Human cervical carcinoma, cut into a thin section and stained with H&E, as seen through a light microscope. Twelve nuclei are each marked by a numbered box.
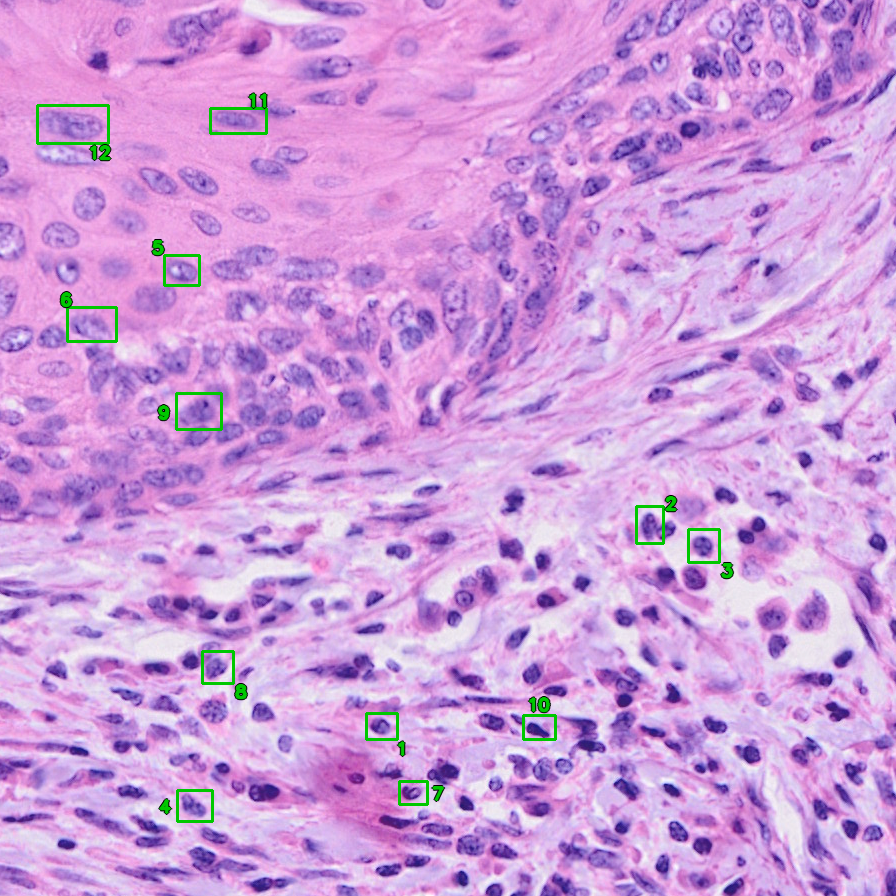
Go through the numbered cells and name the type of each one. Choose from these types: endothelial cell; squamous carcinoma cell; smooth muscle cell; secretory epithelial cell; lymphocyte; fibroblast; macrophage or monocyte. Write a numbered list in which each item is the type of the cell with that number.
1. lymphocyte
2. lymphocyte
3. lymphocyte
4. lymphocyte
5. squamous carcinoma cell
6. squamous carcinoma cell
7. lymphocyte
8. lymphocyte
9. squamous carcinoma cell
10. lymphocyte
11. squamous carcinoma cell
12. squamous carcinoma cell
